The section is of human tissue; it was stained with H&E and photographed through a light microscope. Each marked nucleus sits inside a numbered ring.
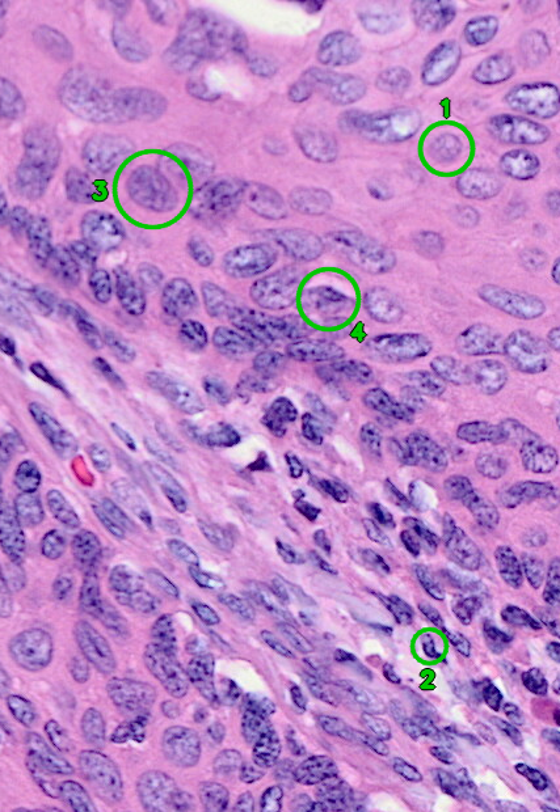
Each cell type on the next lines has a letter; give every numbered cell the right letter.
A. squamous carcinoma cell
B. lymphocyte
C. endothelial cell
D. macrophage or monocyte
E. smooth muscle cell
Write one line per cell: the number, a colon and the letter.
1: A
2: B
3: A
4: A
